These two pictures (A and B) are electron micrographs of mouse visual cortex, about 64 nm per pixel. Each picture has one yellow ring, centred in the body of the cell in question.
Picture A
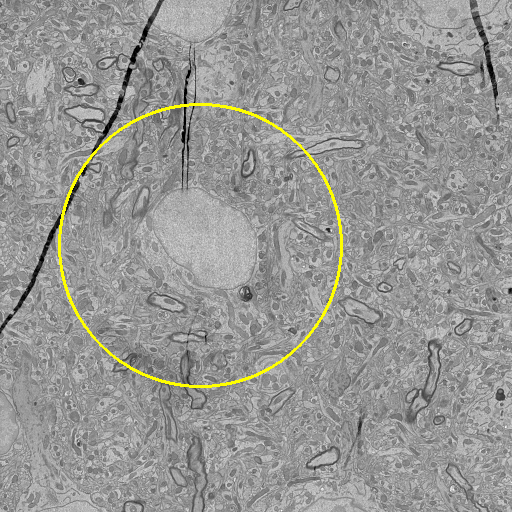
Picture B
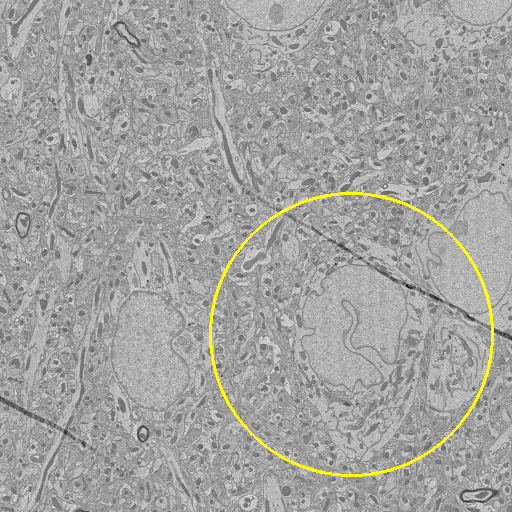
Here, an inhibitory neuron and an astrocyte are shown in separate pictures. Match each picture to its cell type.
The cell in picture A is an astrocyte, and the one in picture B is an inhibitory neuron.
